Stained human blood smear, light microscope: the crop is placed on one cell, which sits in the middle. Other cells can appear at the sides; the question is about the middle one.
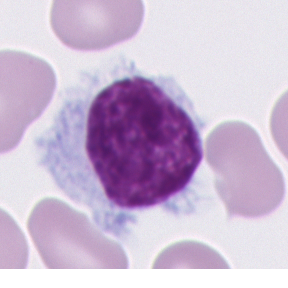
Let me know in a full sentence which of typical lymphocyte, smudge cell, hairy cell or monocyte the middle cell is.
On this slide crop, the central cell is a hairy cell.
